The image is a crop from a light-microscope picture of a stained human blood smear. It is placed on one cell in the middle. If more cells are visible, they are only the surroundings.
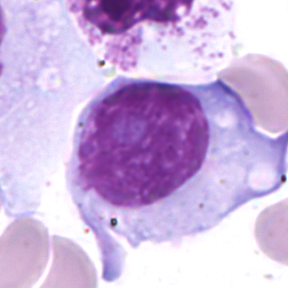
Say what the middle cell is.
plasma cell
